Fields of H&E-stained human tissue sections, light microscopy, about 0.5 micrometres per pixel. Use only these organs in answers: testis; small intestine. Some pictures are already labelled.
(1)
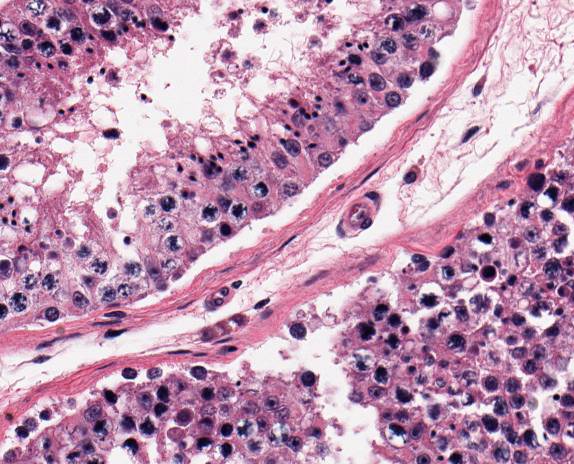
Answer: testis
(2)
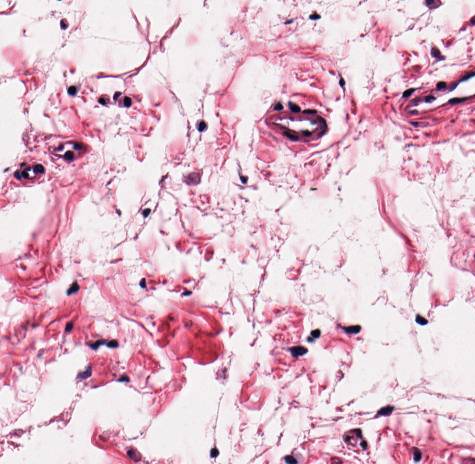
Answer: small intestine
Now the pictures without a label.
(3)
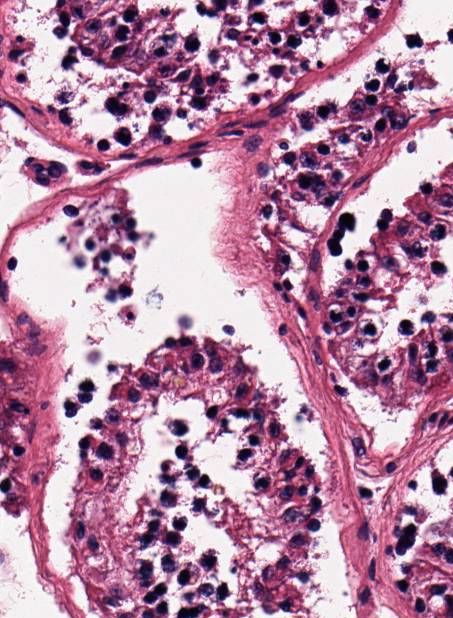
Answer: testis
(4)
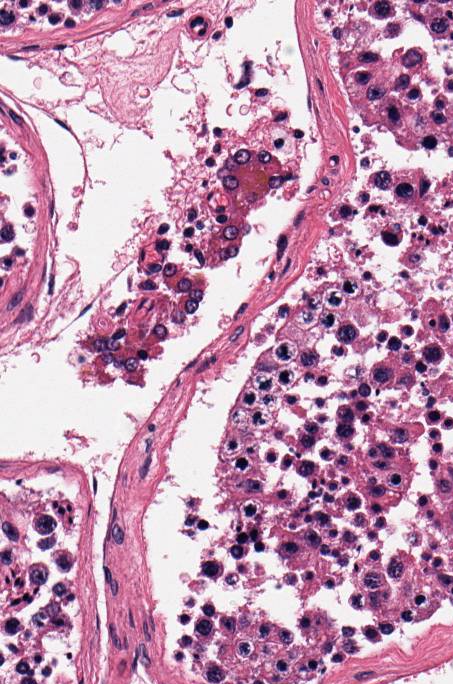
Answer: testis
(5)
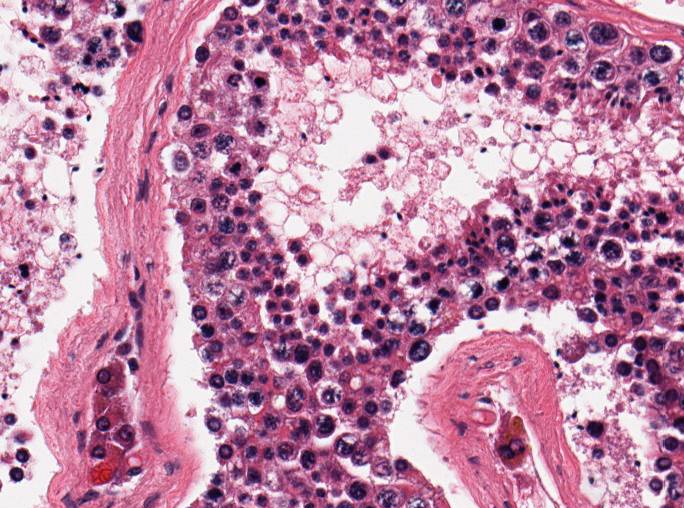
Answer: testis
